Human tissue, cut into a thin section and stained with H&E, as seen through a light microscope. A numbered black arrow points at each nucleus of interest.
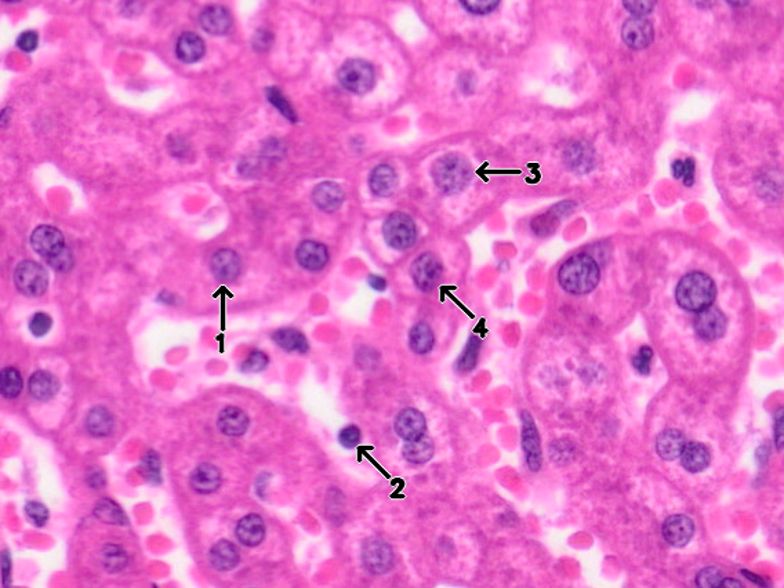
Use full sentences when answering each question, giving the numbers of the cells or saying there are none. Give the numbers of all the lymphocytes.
Cell 2 is the single numbered cell that is a lymphocyte.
